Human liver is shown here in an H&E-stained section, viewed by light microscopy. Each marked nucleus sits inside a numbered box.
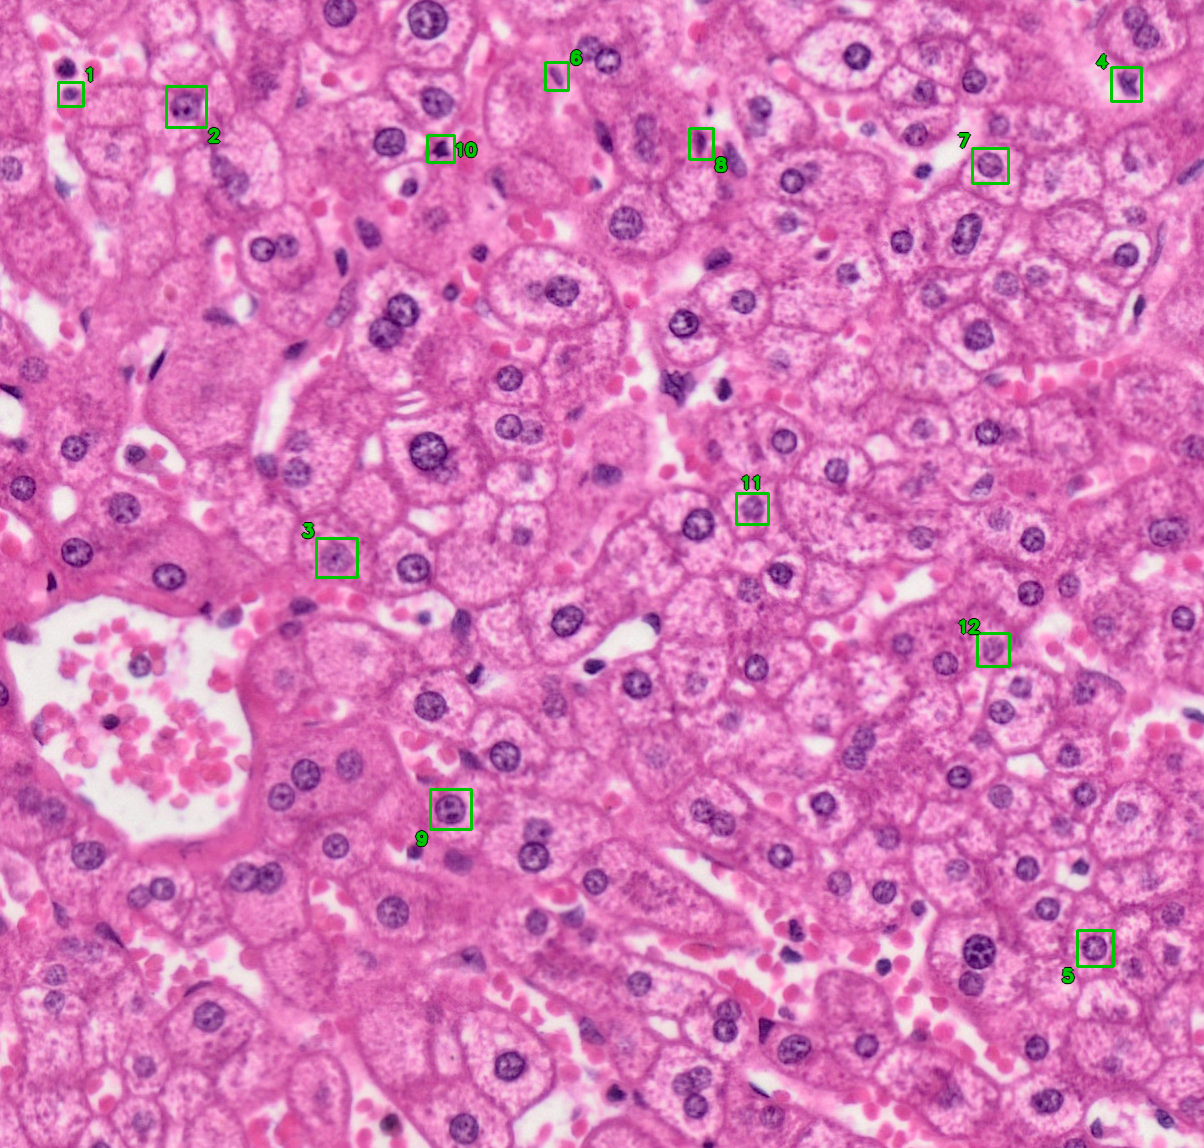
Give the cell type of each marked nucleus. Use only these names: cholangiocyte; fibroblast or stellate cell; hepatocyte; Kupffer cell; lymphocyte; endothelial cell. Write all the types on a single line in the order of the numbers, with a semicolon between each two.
lymphocyte; hepatocyte; hepatocyte; endothelial cell; hepatocyte; lymphocyte; hepatocyte; endothelial cell; hepatocyte; fibroblast or stellate cell; hepatocyte; hepatocyte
